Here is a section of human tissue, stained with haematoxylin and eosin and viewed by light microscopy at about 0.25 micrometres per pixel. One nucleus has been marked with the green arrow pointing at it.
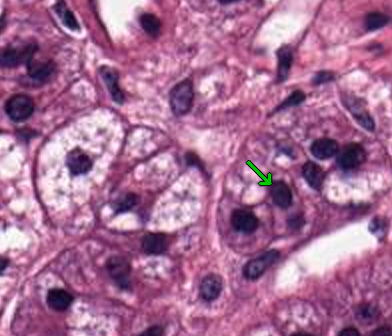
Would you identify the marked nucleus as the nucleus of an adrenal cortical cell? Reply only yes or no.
yes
